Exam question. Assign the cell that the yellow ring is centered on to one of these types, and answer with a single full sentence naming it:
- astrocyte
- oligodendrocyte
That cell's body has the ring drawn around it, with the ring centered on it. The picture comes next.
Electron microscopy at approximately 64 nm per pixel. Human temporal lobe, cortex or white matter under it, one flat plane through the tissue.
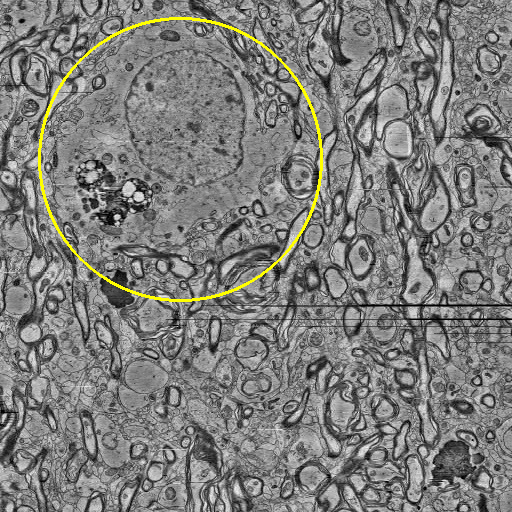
In the micrograph, the cell the yellow ring is centered on is an astrocyte.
